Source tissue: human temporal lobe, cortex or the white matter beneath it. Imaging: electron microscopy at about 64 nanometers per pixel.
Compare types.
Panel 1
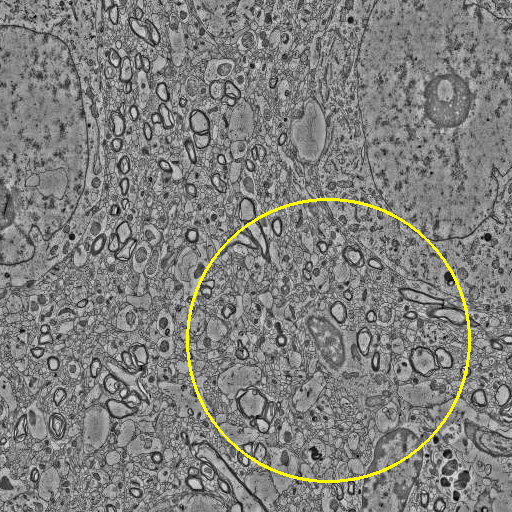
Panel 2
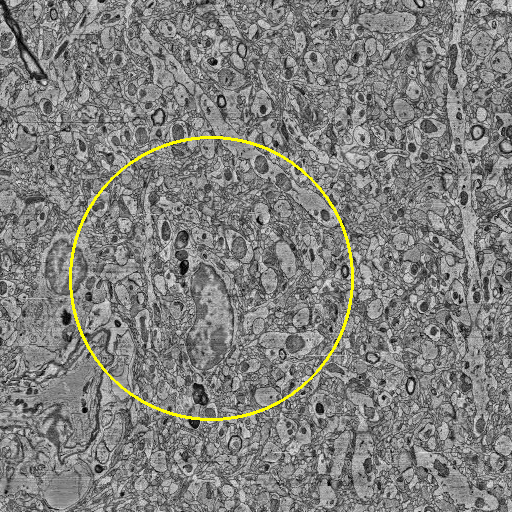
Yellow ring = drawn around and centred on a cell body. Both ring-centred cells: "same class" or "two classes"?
two classes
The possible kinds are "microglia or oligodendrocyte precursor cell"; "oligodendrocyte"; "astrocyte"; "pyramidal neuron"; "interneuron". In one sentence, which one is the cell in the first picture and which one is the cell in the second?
The cell ringed in the second picture is a microglial cell or oligodendrocyte precursor cell, whereas the one ringed in the first is an oligodendrocyte.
